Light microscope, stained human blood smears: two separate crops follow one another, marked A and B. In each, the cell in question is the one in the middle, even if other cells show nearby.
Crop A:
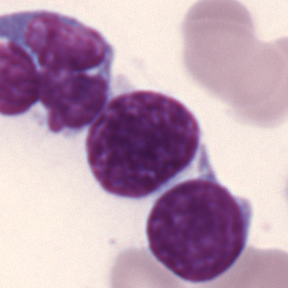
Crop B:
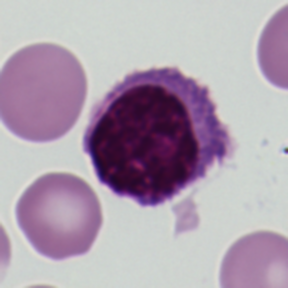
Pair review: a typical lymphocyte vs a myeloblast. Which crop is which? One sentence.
At the centre of crop A lies a myeloblast, and at the centre of crop B lies a typical lymphocyte.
